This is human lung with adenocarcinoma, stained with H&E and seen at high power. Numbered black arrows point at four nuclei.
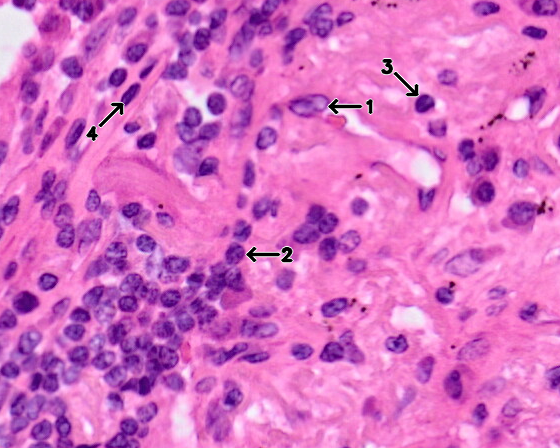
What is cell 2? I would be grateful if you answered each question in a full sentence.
The cell whose nucleus carries the number 2 is a lymphocyte.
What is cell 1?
Denoted by the label 1 in the section is an endothelial cell.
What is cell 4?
The cell given label 4 is a lymphocyte.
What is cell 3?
The nucleus with number 3 is that of a lymphocyte.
